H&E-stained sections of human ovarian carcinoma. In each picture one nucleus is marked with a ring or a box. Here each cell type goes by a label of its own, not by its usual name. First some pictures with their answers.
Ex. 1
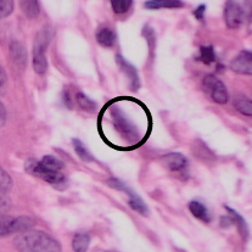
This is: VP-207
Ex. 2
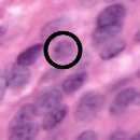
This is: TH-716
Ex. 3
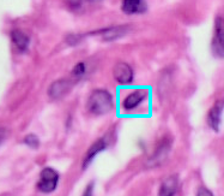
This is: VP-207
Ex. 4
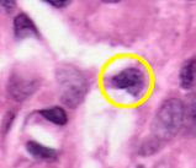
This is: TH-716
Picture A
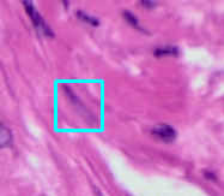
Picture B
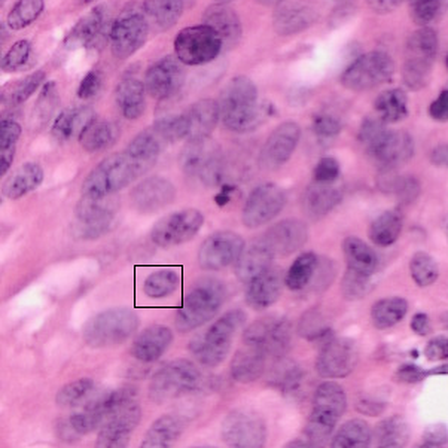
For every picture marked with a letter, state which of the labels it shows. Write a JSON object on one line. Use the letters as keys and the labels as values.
{"A": "VP-207", "B": "TH-716"}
